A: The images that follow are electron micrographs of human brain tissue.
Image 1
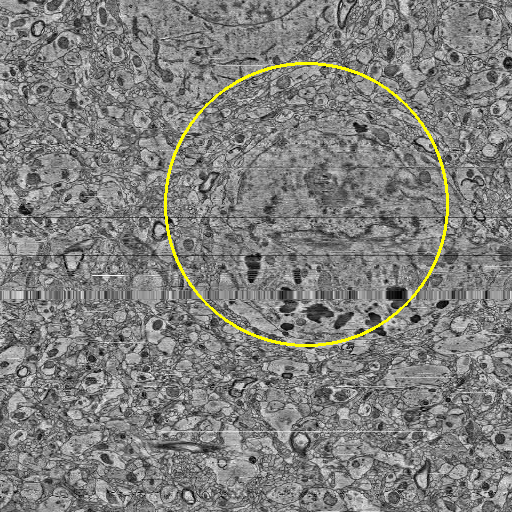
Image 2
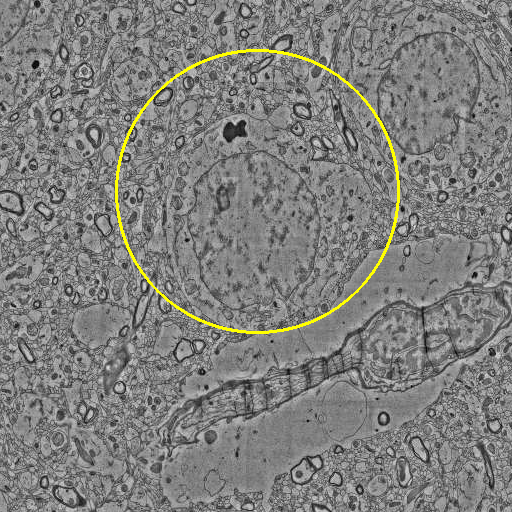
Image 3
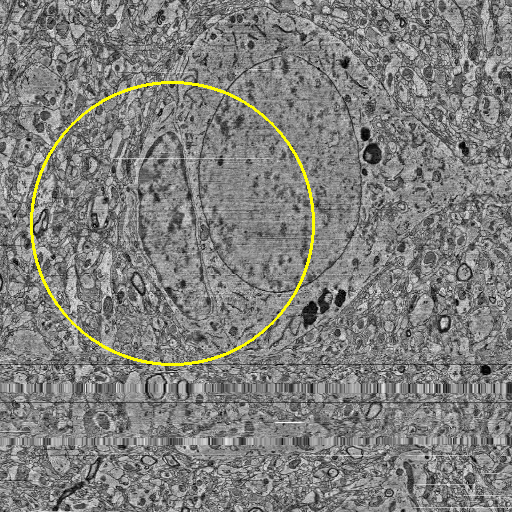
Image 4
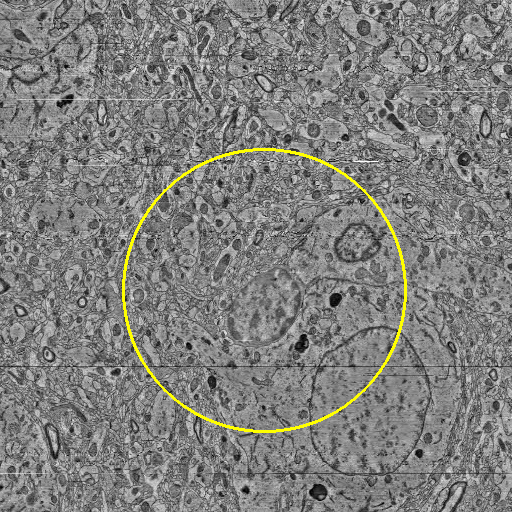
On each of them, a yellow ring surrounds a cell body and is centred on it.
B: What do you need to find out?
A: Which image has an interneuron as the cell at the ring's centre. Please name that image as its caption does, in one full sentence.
Image 1 is the one whose ring has the sought cell at its centre.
